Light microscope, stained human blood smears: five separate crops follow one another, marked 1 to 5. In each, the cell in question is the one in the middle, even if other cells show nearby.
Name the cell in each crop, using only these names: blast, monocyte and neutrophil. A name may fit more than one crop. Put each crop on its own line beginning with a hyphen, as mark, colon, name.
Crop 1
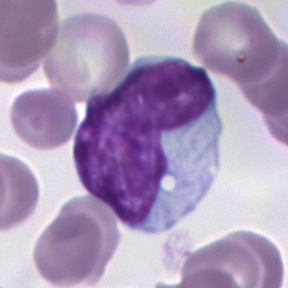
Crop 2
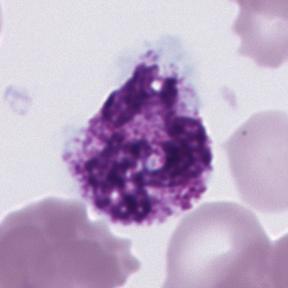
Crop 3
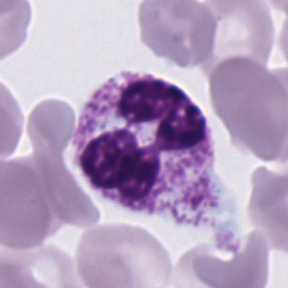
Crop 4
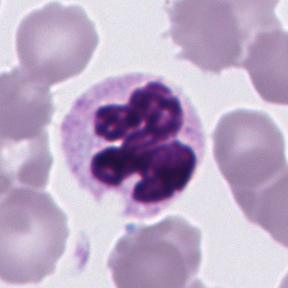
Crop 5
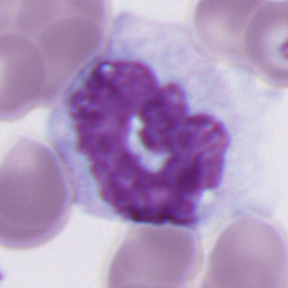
- 1: blast
- 2: neutrophil
- 3: neutrophil
- 4: neutrophil
- 5: monocyte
